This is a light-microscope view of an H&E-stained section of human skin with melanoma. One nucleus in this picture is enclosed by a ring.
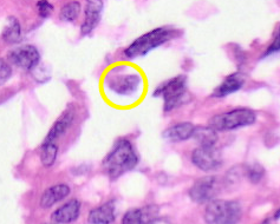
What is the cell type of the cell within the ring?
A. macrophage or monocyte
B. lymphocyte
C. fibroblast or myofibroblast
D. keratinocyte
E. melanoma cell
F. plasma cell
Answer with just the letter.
E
